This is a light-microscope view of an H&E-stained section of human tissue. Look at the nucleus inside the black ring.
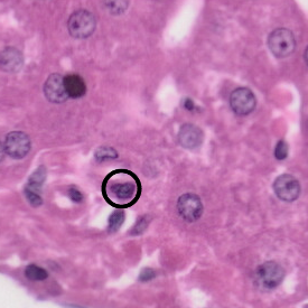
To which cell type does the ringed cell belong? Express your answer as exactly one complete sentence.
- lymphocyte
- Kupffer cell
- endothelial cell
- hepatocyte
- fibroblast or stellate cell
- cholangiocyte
The identity of the ringed cell is that of a fibroblast or stellate cell.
